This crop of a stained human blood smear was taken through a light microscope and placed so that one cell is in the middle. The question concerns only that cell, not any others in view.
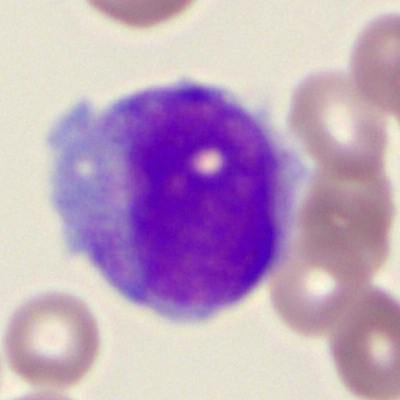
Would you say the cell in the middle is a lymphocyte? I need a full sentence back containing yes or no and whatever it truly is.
No, the cell at the centre is identified as a myeloblast, not as a lymphocyte.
